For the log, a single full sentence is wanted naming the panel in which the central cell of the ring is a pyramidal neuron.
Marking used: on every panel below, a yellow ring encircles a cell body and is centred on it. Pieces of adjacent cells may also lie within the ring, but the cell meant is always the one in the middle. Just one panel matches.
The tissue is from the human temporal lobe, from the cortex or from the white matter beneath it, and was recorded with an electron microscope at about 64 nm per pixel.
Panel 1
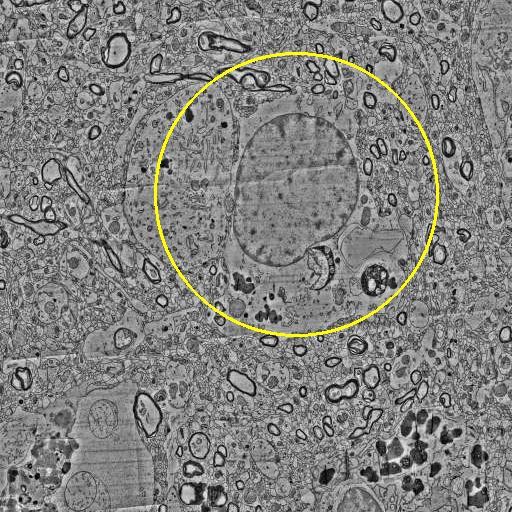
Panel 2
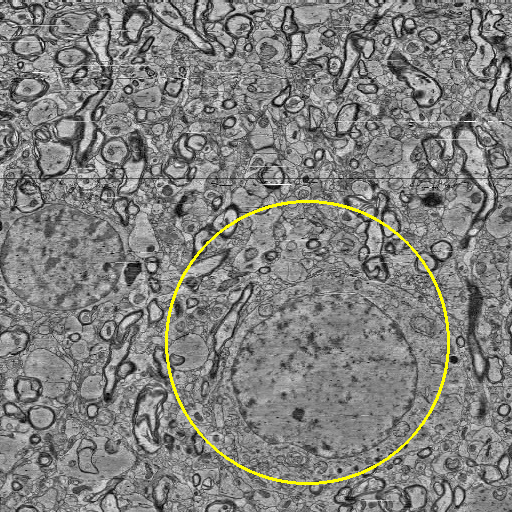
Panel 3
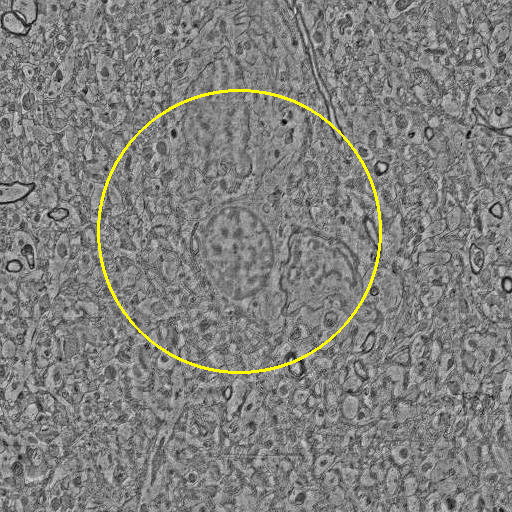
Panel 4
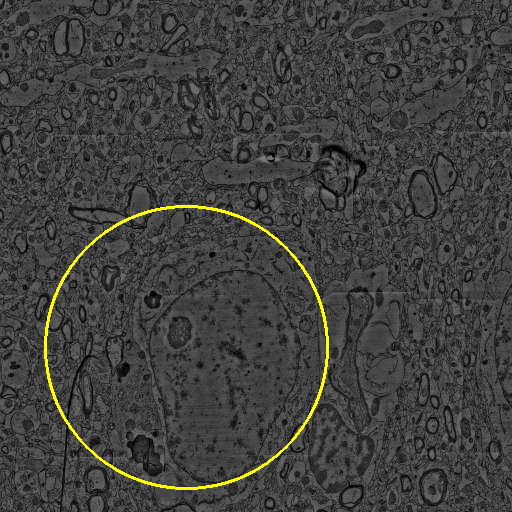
The cell in the middle of the ring in panel 4 is the one asked for.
